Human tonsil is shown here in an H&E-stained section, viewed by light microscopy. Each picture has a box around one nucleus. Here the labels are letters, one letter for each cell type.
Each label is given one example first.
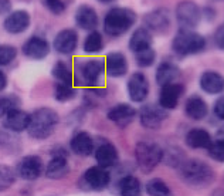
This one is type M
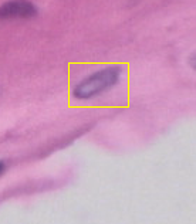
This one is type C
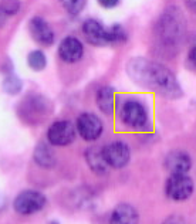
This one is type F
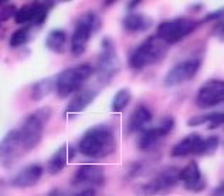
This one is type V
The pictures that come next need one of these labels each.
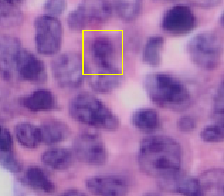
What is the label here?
type V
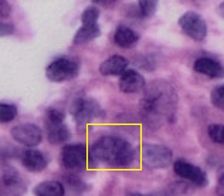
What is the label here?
type V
